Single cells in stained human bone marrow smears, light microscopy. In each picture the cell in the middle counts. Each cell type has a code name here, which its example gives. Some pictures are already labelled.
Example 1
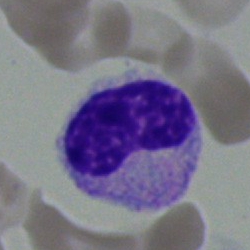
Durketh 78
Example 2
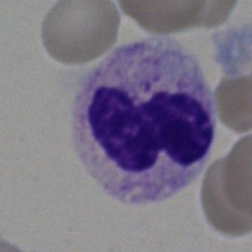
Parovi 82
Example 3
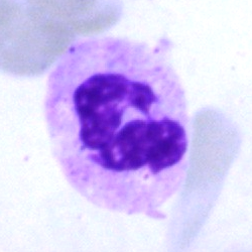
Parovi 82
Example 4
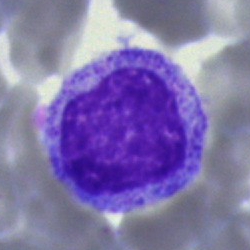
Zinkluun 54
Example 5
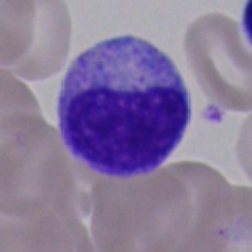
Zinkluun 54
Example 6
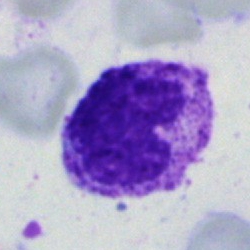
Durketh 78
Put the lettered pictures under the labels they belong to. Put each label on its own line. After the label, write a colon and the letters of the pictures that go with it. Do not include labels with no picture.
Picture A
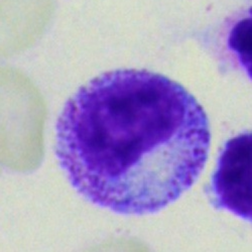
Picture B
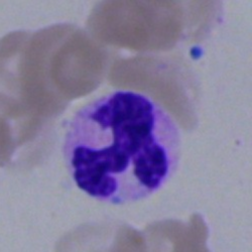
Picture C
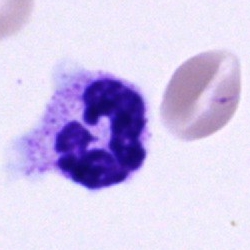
Parovi 82: B, C
Zinkluun 54: A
